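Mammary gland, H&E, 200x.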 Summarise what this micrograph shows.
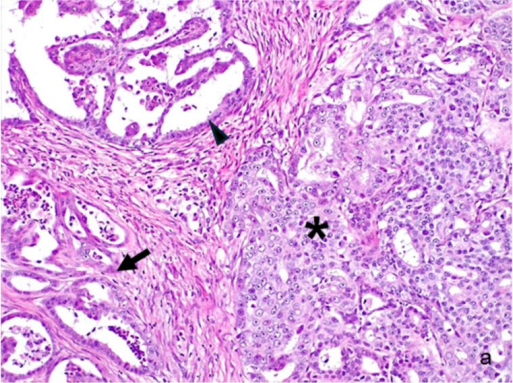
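On the right a sheet of closely packed polygonal cells with round nuclei and pale pink cytoplasm forms a solid mass with only a few small lumina. On the left the tumour cells line open tube-like spaces, and at the top a dilated space holds papillary fronds of epithelium projecting into it. Thick bands of pink collagen with elongated spindle-shaped stromal cells separate these areas. The mixture of solid, tubular and tubulopapillary patterns within dense reactive fibrous stroma marks a tubulopapillary carcinoma with marked desmoplasia.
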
